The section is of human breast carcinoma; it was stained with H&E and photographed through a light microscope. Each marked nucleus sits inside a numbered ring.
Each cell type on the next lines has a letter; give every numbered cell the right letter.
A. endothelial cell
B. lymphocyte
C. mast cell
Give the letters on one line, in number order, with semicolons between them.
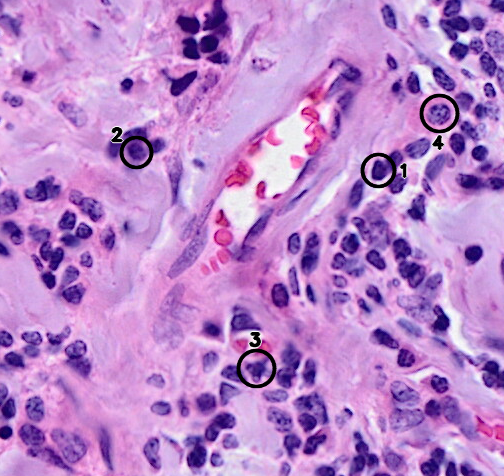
B; B; B; C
